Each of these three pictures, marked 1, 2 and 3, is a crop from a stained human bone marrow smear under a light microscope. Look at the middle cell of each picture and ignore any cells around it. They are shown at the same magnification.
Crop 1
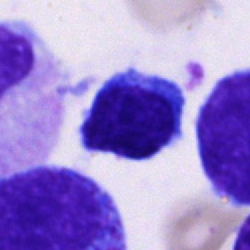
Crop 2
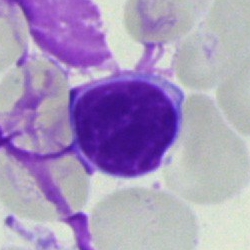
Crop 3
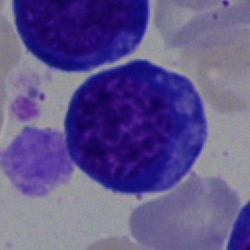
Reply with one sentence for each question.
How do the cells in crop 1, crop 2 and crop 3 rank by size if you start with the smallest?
From the smallest up, the order is 1, 2, 3.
